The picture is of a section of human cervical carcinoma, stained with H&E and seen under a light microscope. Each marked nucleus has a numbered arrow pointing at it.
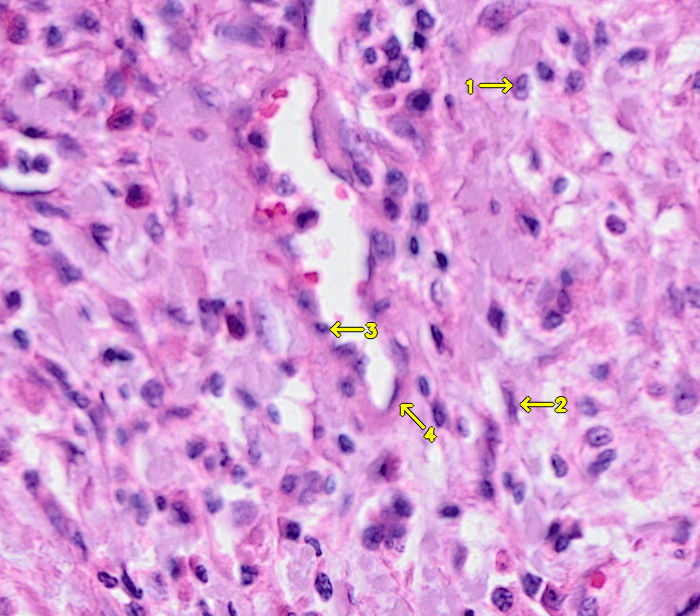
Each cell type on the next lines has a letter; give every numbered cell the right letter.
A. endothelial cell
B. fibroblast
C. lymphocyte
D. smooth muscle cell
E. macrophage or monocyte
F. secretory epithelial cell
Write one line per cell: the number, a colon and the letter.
1: E
2: B
3: A
4: A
